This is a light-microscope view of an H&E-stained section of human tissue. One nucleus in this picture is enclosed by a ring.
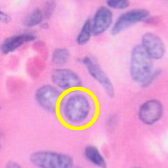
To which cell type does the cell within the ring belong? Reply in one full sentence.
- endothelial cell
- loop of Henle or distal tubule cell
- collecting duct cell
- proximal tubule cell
This is a collecting duct cell.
